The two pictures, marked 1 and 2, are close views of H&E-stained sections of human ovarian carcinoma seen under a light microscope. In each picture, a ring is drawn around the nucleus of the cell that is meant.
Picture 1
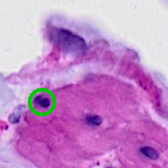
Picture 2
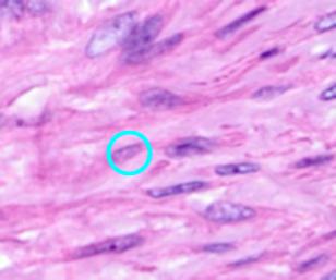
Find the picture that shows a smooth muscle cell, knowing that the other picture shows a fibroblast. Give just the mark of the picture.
1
